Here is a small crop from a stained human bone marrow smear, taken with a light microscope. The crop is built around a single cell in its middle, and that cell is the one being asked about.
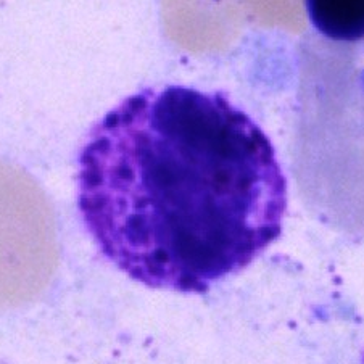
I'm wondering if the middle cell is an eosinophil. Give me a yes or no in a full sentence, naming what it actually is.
No, the cell in the centre is a basophil instead of an eosinophil.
